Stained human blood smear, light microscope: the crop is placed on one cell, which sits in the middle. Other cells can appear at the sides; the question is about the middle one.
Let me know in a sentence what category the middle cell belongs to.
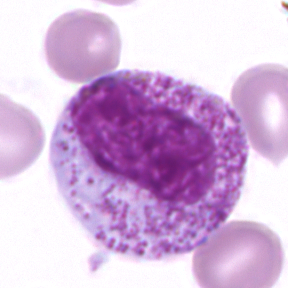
Whatever else lies nearby, the middle cell is a metamyelocyte.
